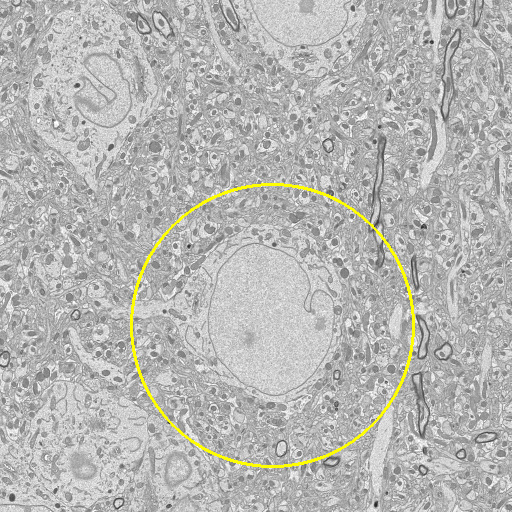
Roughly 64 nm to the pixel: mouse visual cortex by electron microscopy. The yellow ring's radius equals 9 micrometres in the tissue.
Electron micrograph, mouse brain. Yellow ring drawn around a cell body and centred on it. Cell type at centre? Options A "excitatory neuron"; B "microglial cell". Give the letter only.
A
